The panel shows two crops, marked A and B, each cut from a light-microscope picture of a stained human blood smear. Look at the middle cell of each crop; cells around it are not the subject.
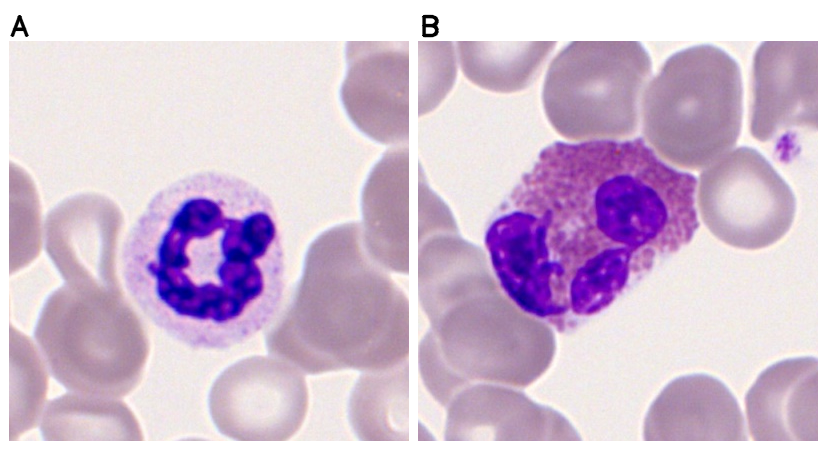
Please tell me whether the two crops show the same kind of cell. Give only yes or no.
no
